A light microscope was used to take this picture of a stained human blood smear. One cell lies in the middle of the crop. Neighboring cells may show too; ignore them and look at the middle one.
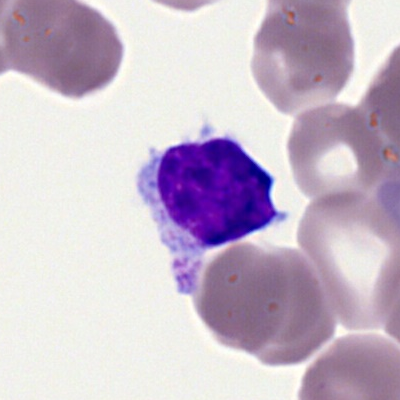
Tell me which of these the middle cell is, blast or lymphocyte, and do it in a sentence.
The cell in the middle of the field of view is a lymphocyte.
